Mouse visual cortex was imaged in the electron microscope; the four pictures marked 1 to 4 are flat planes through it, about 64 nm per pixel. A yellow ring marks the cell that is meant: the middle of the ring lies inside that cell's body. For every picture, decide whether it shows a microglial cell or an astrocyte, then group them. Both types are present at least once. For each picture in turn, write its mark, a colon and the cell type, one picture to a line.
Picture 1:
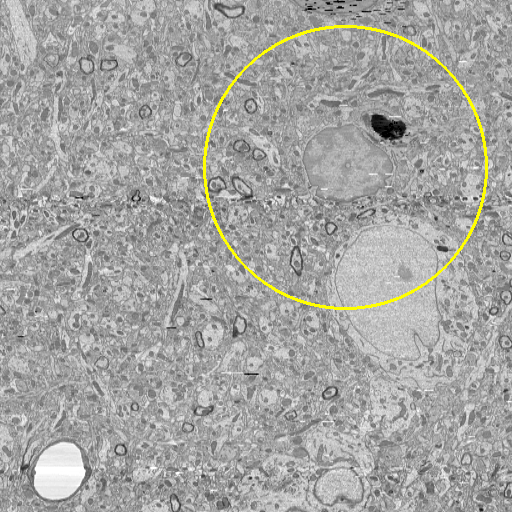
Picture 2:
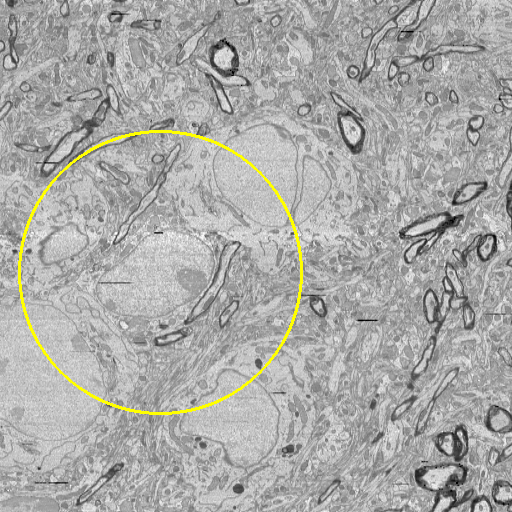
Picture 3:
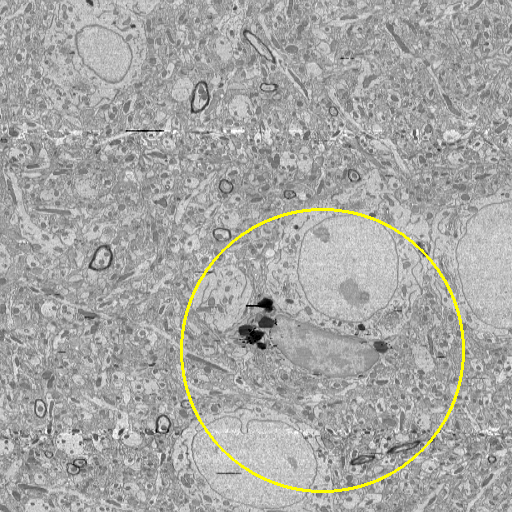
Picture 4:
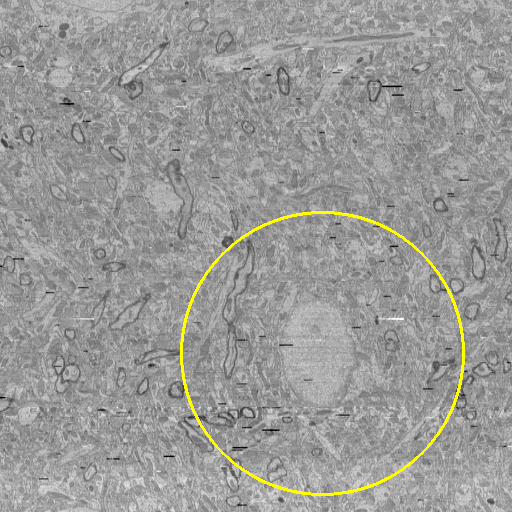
1: microglial cell
2: astrocyte
3: microglial cell
4: astrocyte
